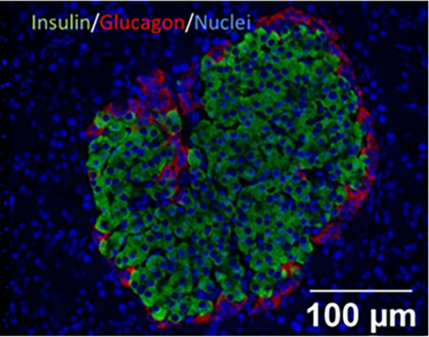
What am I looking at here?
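This is a large pancreatic islet, seen as a big lobulated cluster of closely packed cells set within the surrounding tissue. The bulk of the islet is made of polygonal cells with green cytoplasm, each with a round blue nucleus, so the core looks like a green mosaic dotted with blue. Outside the islet the tissue shows only scattered blue nuclei, with no green or red, marking a sharp boundary between the islet and the tissue around it.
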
